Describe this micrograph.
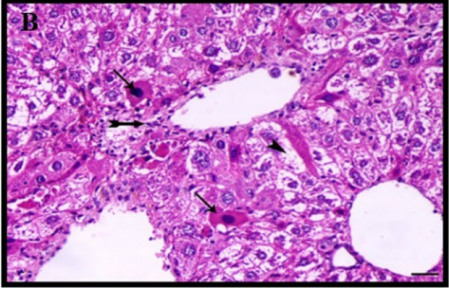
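Liver tissue with hepatocytes around dilated vessels, many showing pale, clear, vacuolated cytoplasm. Scattered hepatocytes are shrunken with intensely pink cytoplasm and dark condensed nuclei. Elongated spindle nuclei lie along the vessel walls.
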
